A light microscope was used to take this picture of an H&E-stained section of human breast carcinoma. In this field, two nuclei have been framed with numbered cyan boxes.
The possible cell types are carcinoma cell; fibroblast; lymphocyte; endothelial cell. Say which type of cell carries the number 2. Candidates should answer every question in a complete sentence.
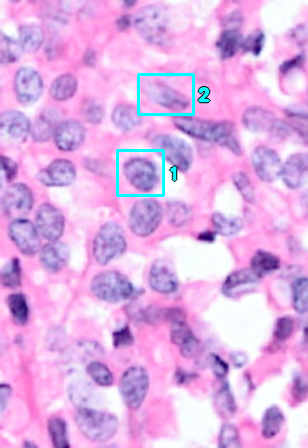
The expected answer is that cell 2 is an endothelial cell.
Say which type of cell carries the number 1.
As for number 1, that cell is a carcinoma cell.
